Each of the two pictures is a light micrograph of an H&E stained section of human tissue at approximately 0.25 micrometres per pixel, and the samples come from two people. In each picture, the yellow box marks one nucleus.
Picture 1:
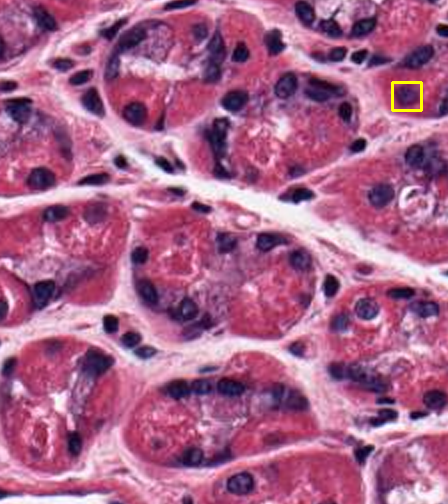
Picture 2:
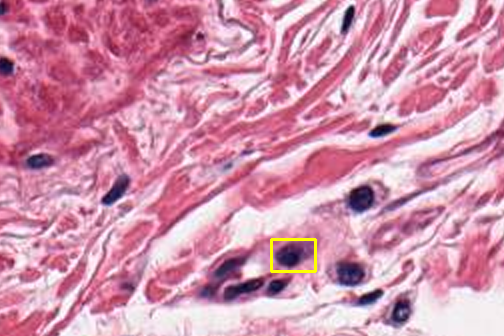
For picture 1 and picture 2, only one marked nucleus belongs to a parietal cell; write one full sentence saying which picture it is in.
The nucleus of a parietal cell is what is marked in picture 1.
